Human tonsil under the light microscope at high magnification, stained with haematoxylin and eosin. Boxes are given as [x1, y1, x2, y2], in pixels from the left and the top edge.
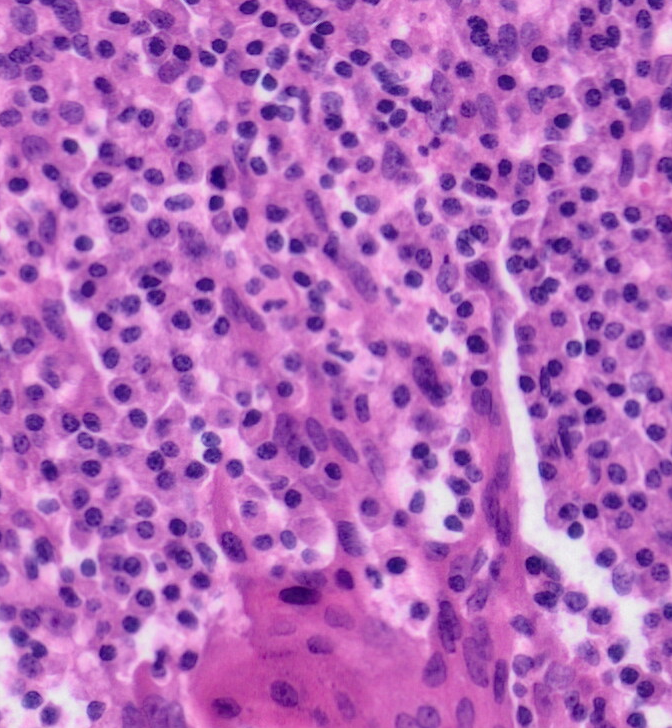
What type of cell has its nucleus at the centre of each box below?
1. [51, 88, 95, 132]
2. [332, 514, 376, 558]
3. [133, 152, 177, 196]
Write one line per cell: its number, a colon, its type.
1: squamous epithelial cell
2: squamous epithelial cell
3: plasma cell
